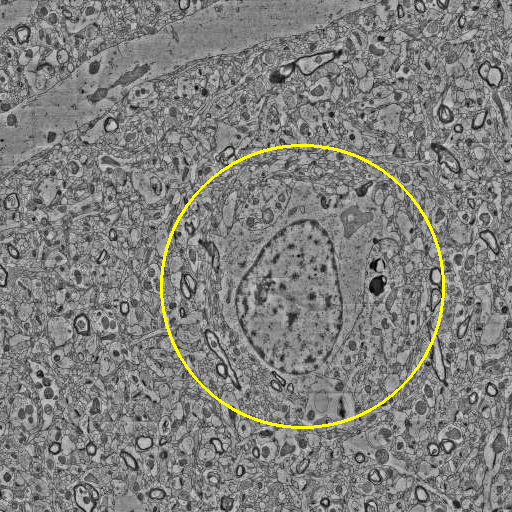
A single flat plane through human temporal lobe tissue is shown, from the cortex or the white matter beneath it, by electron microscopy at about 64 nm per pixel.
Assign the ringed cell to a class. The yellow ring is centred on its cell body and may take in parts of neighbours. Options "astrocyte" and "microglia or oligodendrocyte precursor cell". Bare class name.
microglia or oligodendrocyte precursor cell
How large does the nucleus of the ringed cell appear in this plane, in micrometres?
The nucleus works out at approximately 10 by 7 micrometres in this plane.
